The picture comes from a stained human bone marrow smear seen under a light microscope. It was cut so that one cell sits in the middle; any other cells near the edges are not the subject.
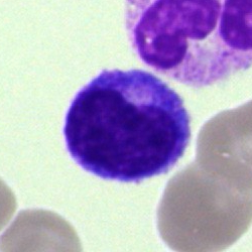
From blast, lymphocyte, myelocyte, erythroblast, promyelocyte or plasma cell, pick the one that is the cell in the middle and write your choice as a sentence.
As for the cell in the middle, it is a lymphocyte.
